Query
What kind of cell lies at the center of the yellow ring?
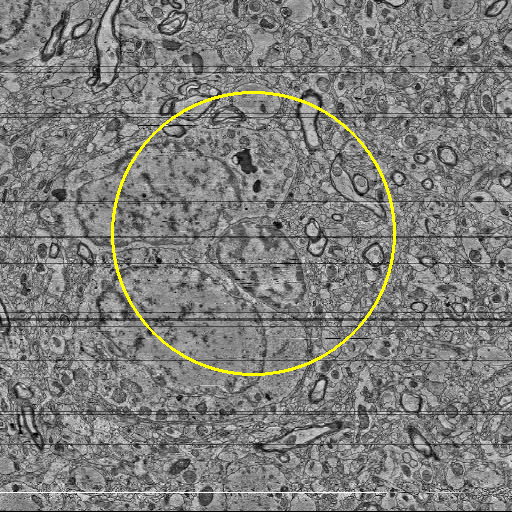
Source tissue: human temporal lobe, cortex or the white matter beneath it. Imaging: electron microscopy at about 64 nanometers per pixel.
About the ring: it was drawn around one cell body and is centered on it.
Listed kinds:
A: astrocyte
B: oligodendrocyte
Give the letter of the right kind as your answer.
B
